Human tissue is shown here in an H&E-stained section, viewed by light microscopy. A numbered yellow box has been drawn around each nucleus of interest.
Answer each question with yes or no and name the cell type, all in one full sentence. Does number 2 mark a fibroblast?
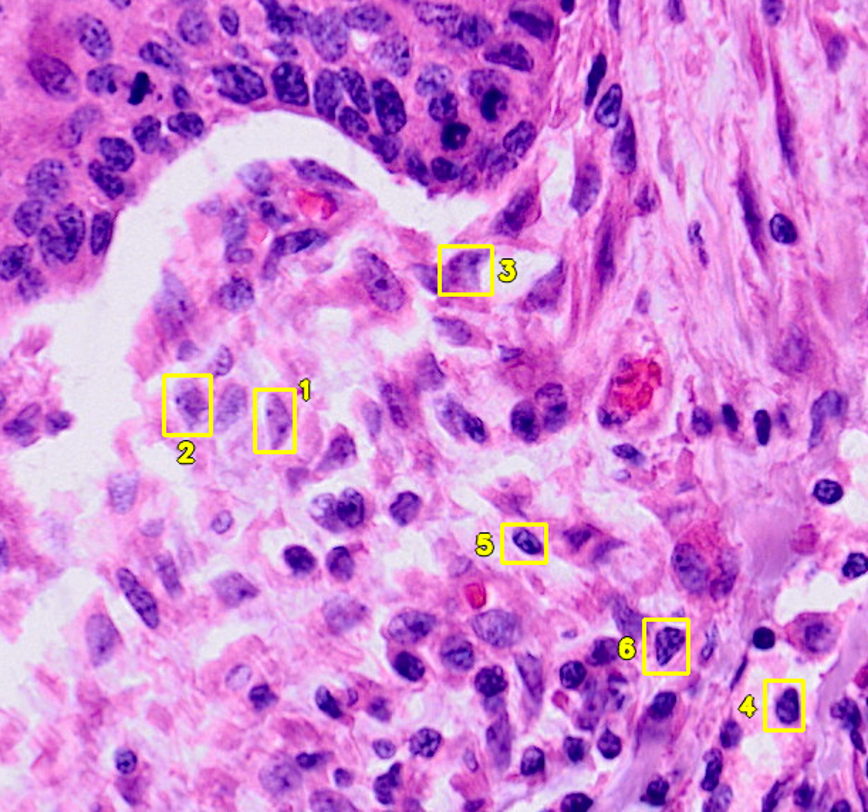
Yes, the cell carrying number 2 is a fibroblast.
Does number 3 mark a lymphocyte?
No, cell 3 isn't a lymphocyte; it's a fibroblast.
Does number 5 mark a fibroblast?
No, the cell labelled 5 is a lymphocyte and not a fibroblast.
